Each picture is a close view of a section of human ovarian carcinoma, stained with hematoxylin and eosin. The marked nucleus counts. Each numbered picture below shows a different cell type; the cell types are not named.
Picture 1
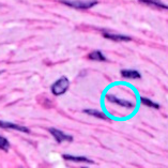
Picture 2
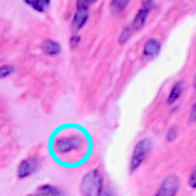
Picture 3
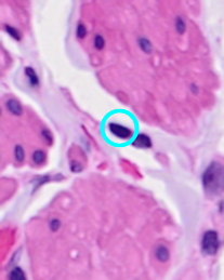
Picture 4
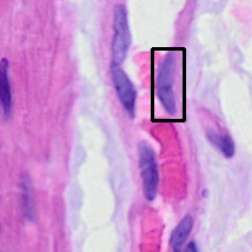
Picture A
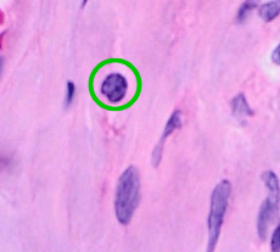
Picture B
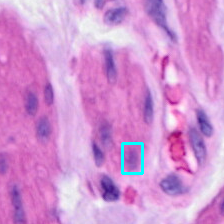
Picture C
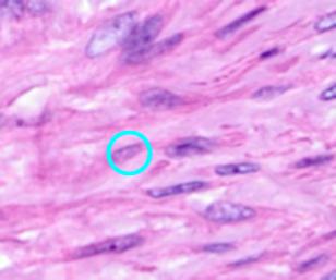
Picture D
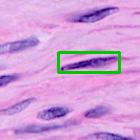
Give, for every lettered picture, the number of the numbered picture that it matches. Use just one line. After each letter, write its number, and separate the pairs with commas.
A 3, B 2, C 1, D 2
